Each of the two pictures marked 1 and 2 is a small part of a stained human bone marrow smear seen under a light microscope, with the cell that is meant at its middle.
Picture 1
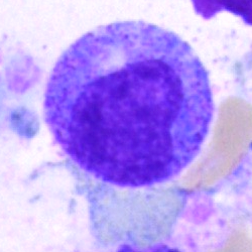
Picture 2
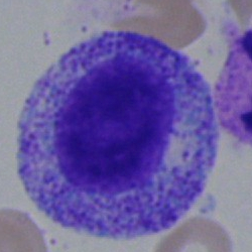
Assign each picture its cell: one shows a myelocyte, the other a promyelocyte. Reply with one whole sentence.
Picture 2 shows a myelocyte, while picture 1 shows a promyelocyte.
